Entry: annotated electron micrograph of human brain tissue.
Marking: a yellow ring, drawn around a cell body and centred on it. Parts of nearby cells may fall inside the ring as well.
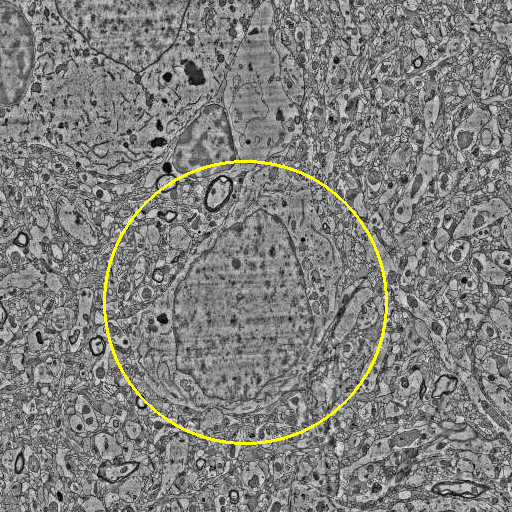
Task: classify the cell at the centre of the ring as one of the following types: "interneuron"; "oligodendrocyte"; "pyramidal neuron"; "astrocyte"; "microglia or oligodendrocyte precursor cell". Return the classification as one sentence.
The marked cell is classified as an interneuron.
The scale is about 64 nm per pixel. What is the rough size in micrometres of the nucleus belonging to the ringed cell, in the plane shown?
About 12 micrometres by about 9 micrometres in this plane.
